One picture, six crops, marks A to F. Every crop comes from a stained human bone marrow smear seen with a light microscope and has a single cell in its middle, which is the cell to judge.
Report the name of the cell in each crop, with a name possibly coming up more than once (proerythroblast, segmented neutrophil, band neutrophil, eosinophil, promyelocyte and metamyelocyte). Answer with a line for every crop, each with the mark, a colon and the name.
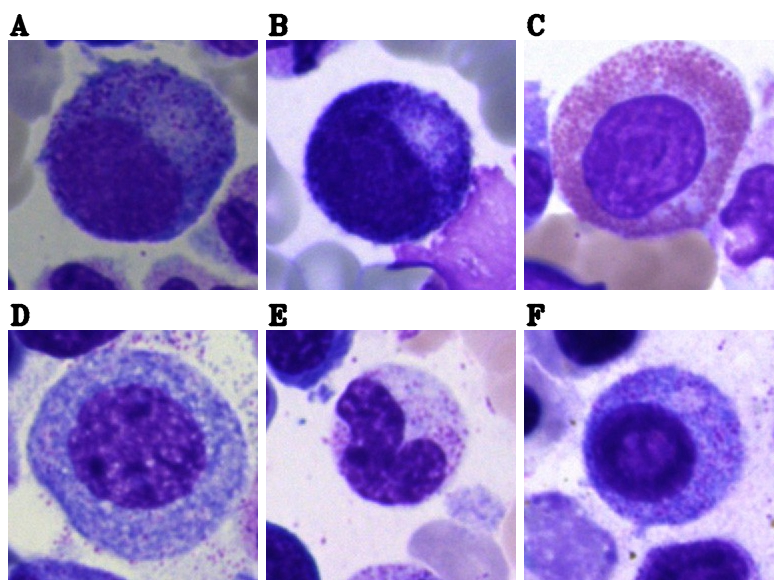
A: promyelocyte
B: promyelocyte
C: eosinophil
D: promyelocyte
E: band neutrophil
F: promyelocyte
